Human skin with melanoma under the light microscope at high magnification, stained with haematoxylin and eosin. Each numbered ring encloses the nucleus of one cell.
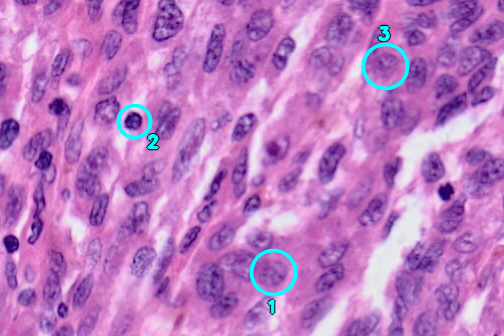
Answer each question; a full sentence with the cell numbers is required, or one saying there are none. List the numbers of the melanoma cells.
The numbers 1 and 3 in this section indicate melanoma cells.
